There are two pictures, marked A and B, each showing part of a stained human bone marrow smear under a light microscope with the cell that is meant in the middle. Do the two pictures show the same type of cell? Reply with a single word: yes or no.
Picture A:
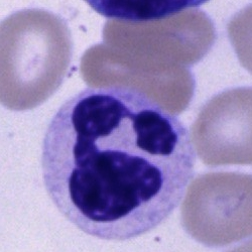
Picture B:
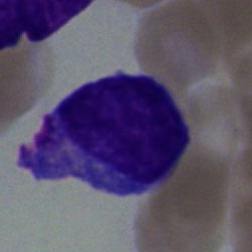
no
